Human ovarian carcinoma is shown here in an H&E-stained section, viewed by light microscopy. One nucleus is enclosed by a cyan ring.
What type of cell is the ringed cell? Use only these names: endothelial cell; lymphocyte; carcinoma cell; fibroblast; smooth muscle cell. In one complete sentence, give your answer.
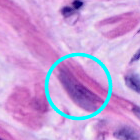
In this preparation, the ringed cell is a smooth muscle cell.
